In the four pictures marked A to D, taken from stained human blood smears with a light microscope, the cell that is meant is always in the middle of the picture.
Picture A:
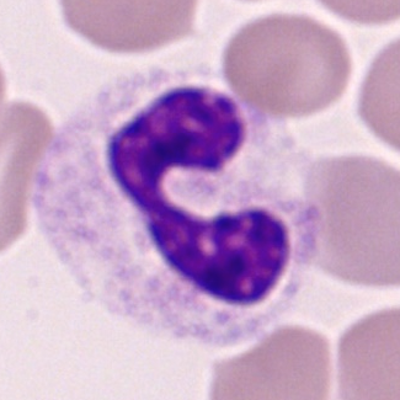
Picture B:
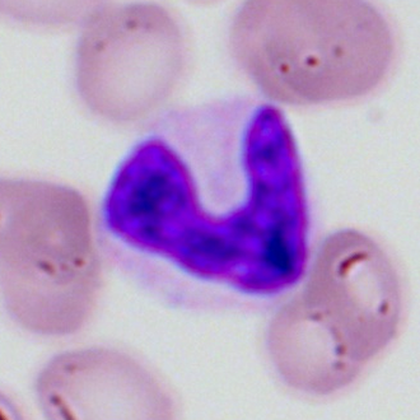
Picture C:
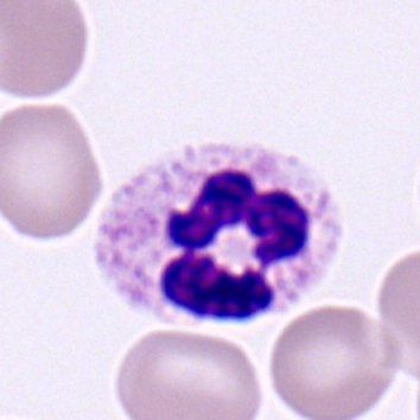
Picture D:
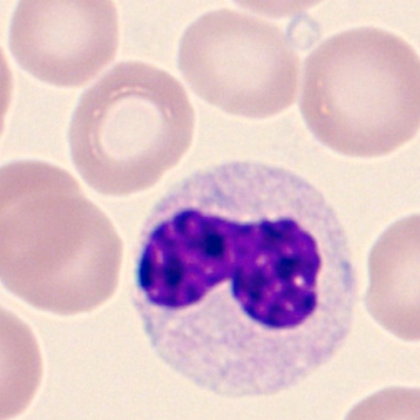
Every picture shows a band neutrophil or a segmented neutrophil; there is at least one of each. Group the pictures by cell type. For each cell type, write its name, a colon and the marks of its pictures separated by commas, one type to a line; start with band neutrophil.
band neutrophil: A, B, D
segmented neutrophil: C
